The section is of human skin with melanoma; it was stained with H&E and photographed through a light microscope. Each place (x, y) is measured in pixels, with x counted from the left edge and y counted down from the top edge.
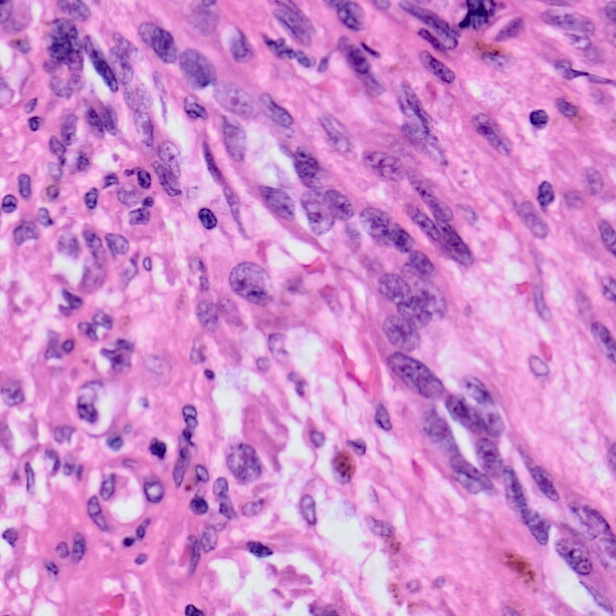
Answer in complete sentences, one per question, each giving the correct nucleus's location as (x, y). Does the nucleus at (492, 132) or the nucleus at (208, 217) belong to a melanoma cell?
Of the two nuclei, that at (492, 132) is the nucleus of a melanoma cell.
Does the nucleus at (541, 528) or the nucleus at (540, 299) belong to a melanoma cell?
The nucleus at (541, 528) is housed in a melanoma cell.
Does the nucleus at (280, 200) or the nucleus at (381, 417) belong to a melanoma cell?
The nucleus positioned at (280, 200) forms part of a melanoma cell.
